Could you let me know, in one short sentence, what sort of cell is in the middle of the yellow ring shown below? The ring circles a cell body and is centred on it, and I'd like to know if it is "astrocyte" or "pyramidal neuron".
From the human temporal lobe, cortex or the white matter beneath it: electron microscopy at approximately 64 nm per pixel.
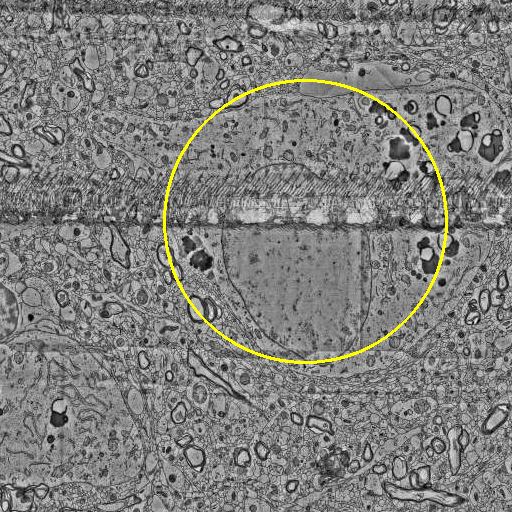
The ring circles the cell body of a pyramidal neuron.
